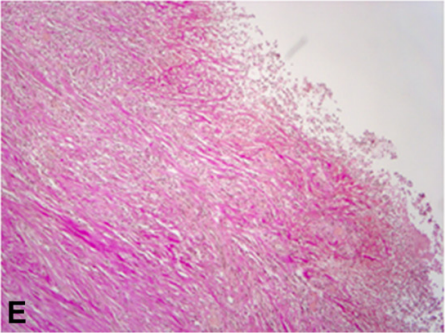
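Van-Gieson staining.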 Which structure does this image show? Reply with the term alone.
Collagen fibers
